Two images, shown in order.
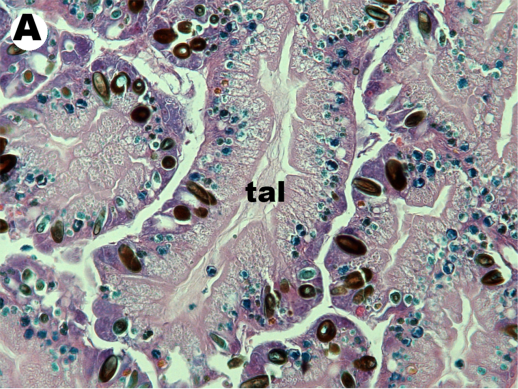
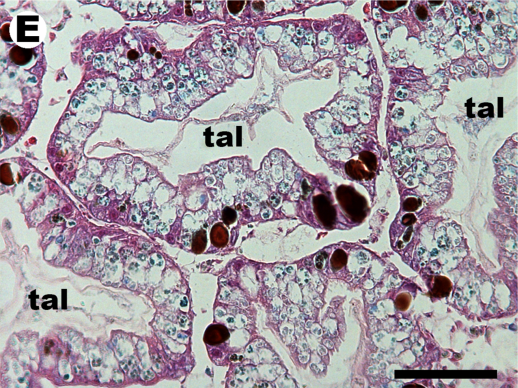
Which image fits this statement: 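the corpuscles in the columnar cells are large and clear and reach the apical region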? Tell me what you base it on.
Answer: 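Second image: large clear vacuoles with pale blue clumps fill the epithelium up to the lumen. First image: smaller, denser blue-green bodies lie mostly in the basal part of the epithelium.
Conclusion: the second image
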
